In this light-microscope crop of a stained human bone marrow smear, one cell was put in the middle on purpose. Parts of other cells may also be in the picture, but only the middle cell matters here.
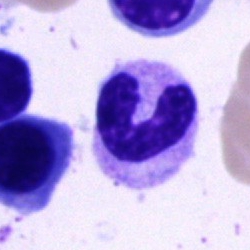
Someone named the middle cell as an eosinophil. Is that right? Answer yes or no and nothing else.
no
